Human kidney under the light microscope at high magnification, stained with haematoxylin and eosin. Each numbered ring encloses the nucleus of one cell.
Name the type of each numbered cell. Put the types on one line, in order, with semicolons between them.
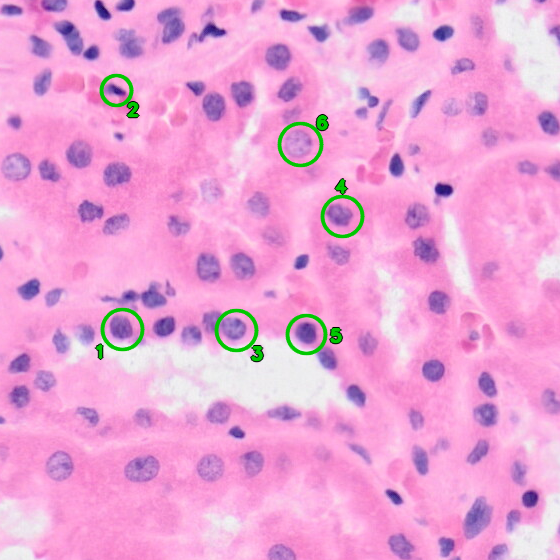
loop of Henle or distal tubule cell; endothelial cell; loop of Henle or distal tubule cell; proximal tubule cell; loop of Henle or distal tubule cell; proximal tubule cell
